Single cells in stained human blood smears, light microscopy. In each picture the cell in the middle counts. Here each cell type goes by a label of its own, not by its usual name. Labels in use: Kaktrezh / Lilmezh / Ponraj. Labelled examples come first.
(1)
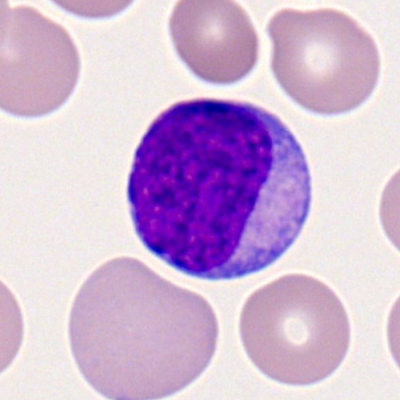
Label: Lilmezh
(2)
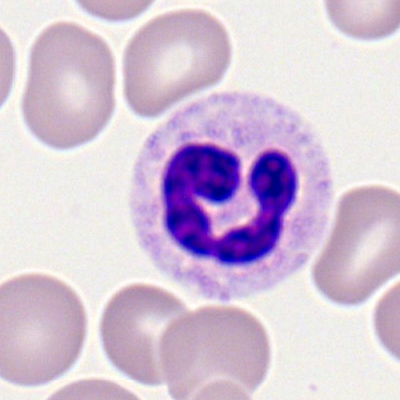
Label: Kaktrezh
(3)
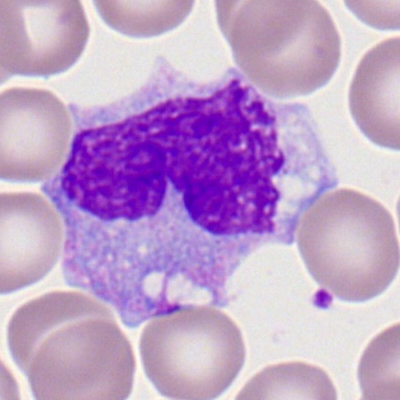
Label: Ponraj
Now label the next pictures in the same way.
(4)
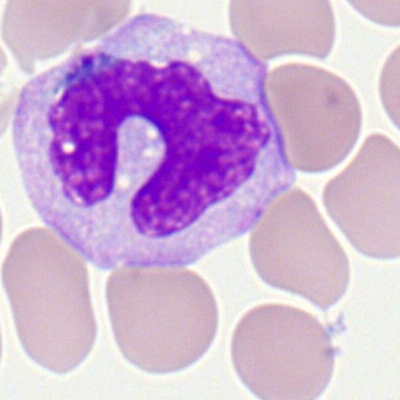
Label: Ponraj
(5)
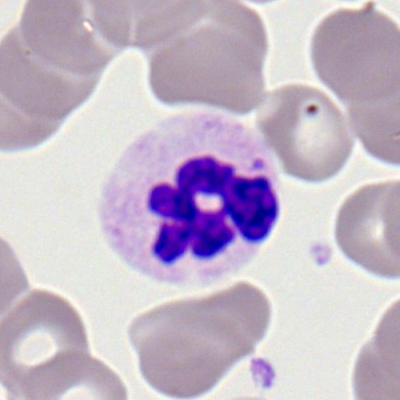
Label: Kaktrezh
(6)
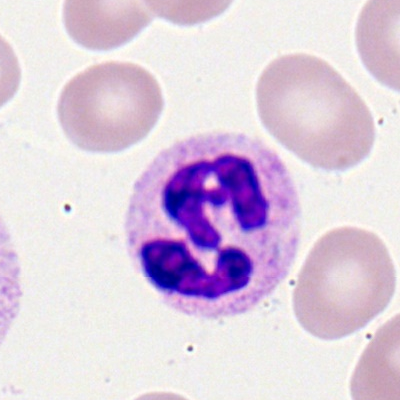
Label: Kaktrezh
